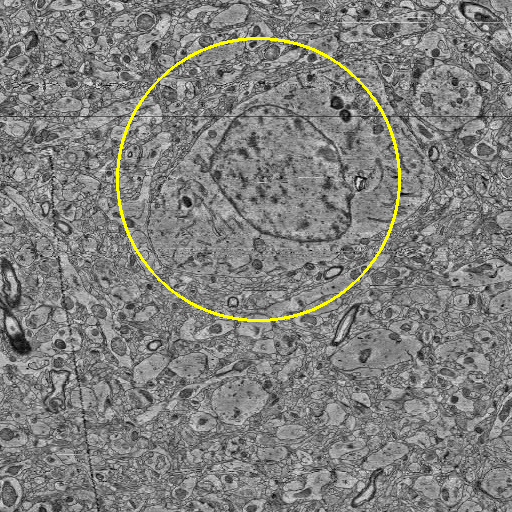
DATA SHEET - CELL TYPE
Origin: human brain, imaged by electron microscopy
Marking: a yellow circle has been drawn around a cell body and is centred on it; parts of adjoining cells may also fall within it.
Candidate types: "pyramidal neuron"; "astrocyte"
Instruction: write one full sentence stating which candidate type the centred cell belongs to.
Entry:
The cell body at the centre of the yellow ring in this micrograph belongs to a pyramidal neuron.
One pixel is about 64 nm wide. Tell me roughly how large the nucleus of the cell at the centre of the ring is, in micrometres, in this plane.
Roughly 10 micrometres by 8 micrometres, in this plane.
